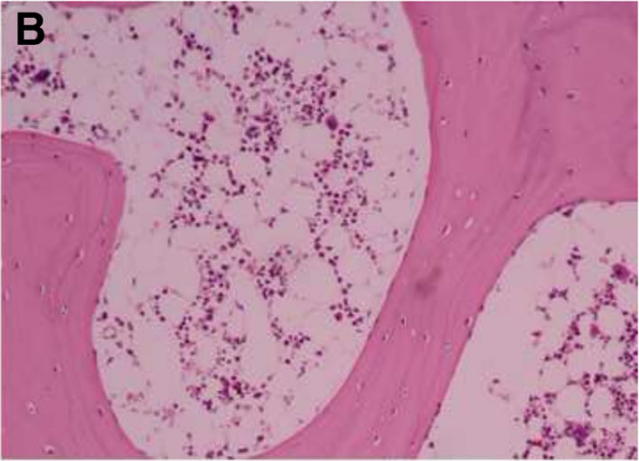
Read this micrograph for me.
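This is a section of bone showing pink trabeculae of bone matrix curving around a wide marrow space. The marrow space is well filled with many small round cells whose nuclei stain dark purple; these are blood-forming marrow cells. They lie densely scattered among clear round fat vacuoles, giving the marrow a busy, speckled look rather than an empty one.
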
